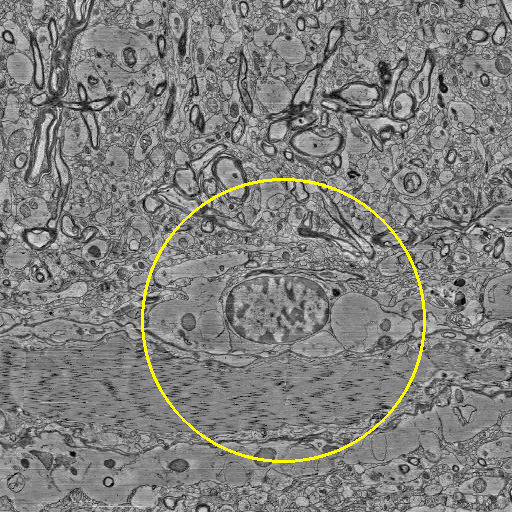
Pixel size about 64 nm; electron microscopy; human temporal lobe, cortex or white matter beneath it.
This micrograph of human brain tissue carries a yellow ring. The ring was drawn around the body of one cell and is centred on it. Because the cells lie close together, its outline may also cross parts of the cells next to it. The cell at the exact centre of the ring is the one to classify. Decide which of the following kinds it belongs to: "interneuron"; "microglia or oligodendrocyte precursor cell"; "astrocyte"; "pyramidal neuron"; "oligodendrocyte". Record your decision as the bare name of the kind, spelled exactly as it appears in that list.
microglia or oligodendrocyte precursor cell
